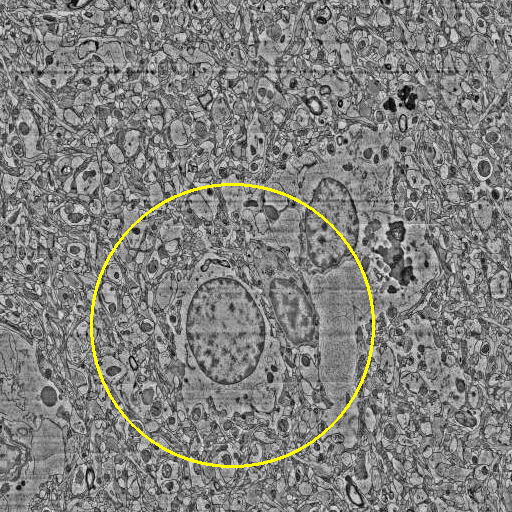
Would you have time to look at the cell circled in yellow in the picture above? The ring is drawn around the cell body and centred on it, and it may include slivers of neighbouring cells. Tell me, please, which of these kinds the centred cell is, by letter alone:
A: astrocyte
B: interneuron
A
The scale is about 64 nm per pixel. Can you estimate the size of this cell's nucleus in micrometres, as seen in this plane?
In this plane the nucleus measures roughly 7 by 5 micrometres.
